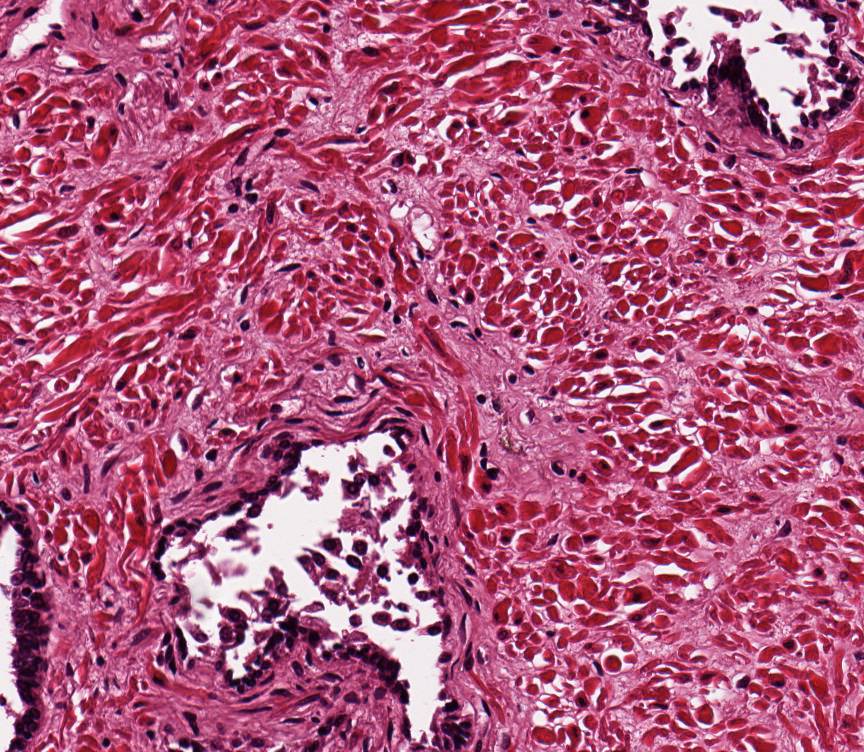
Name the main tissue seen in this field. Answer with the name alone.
fibromuscular stroma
